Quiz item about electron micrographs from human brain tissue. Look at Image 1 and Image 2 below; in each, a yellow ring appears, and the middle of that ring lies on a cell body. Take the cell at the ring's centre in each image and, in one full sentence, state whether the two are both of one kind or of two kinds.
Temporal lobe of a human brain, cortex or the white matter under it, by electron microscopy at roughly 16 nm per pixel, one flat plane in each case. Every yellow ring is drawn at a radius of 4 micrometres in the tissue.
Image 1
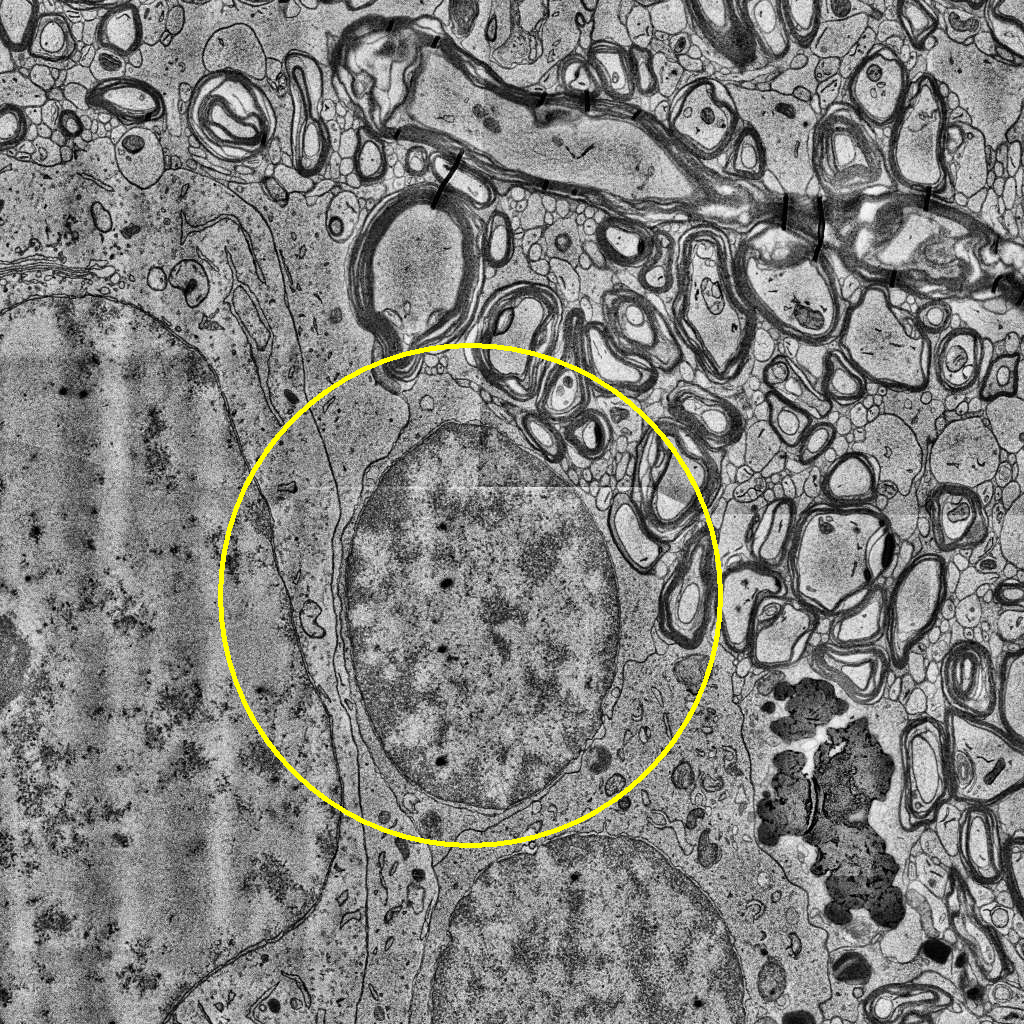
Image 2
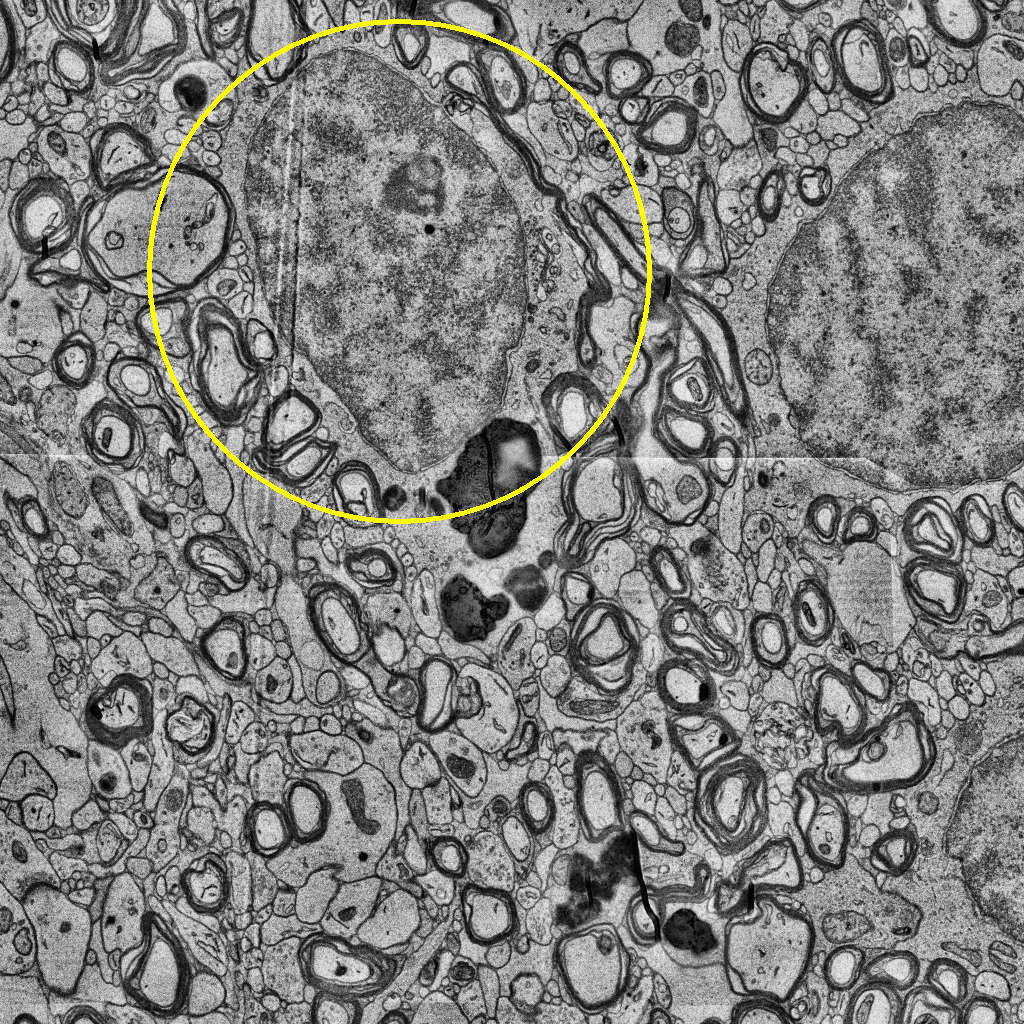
In Image 1 and Image 2, the cells at the ring centres are both of one kind.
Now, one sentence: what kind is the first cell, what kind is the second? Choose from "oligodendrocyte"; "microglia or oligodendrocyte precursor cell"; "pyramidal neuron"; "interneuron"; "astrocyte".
The second cell is an oligodendrocyte, just as the first is.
